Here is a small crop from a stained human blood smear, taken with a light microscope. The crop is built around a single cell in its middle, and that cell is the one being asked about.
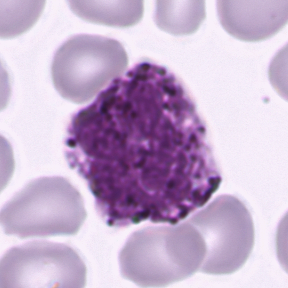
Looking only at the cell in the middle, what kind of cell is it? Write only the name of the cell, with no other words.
basophil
